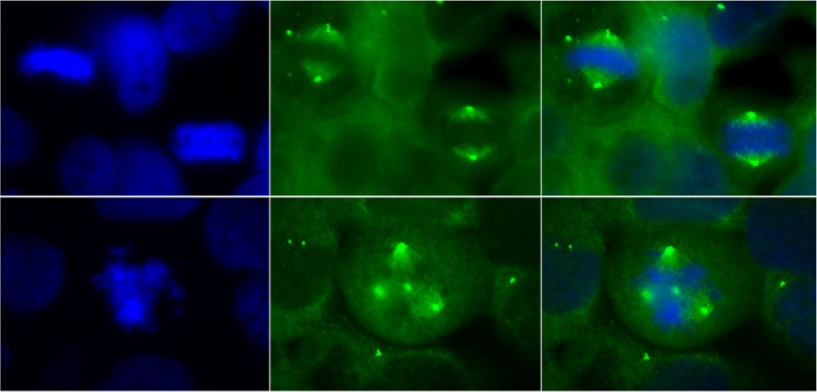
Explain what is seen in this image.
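In the upper row two cells hold their condensed chromatin as a compact blue band, each flanked by two bright green dots at opposite ends, with faint green fibres fanning between dot and band. Surrounding interphase nuclei are rounded, evenly and dimly blue. In the lower row a mitotic cell has fragmented, irregularly scattered blue chromatin rather than a single band. Around it lie more than two bright green dots, with faint green fibres radiating from them in several directions.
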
